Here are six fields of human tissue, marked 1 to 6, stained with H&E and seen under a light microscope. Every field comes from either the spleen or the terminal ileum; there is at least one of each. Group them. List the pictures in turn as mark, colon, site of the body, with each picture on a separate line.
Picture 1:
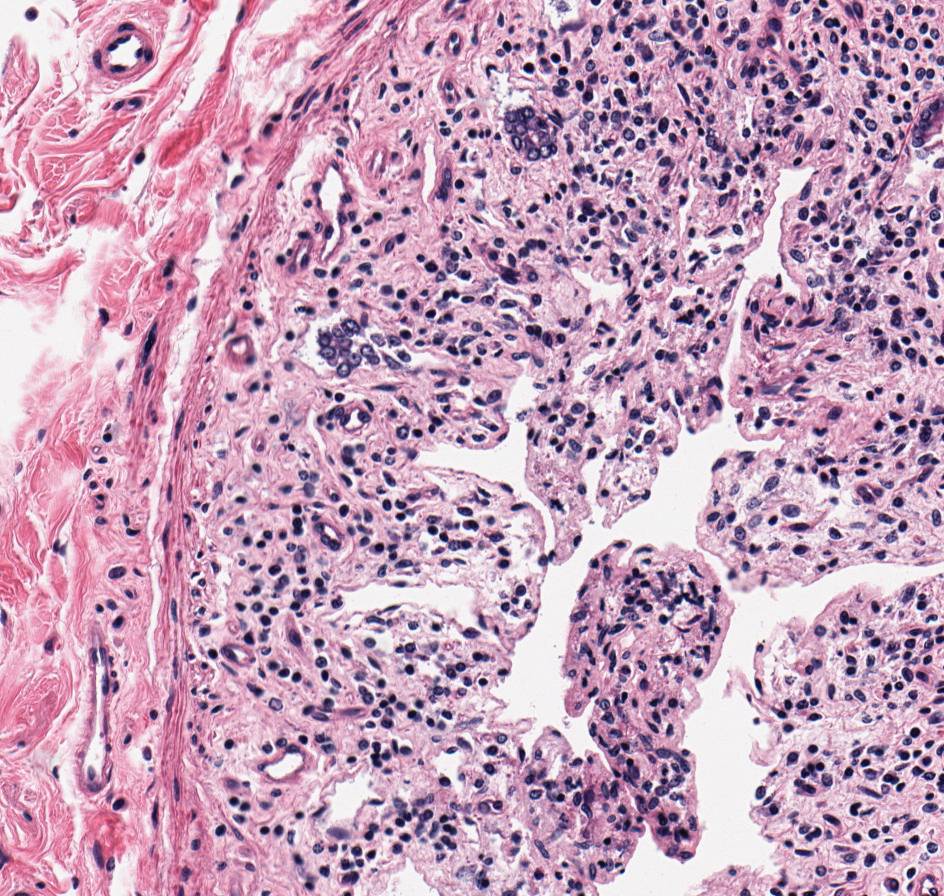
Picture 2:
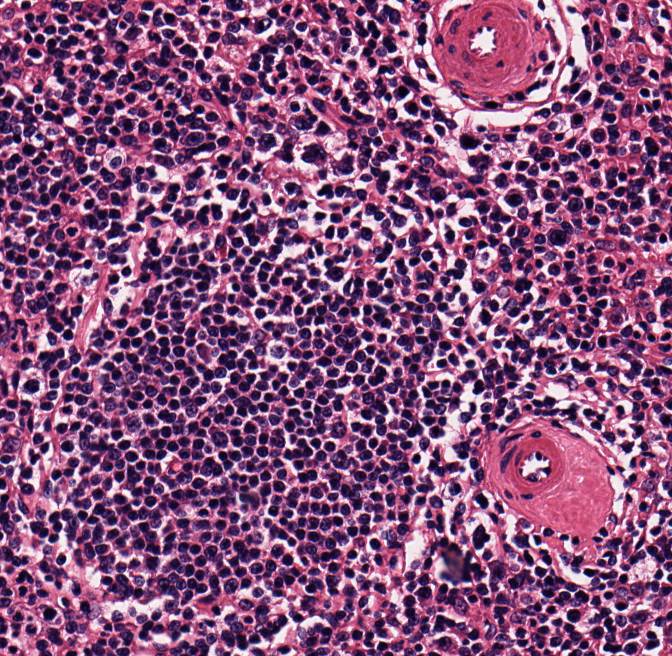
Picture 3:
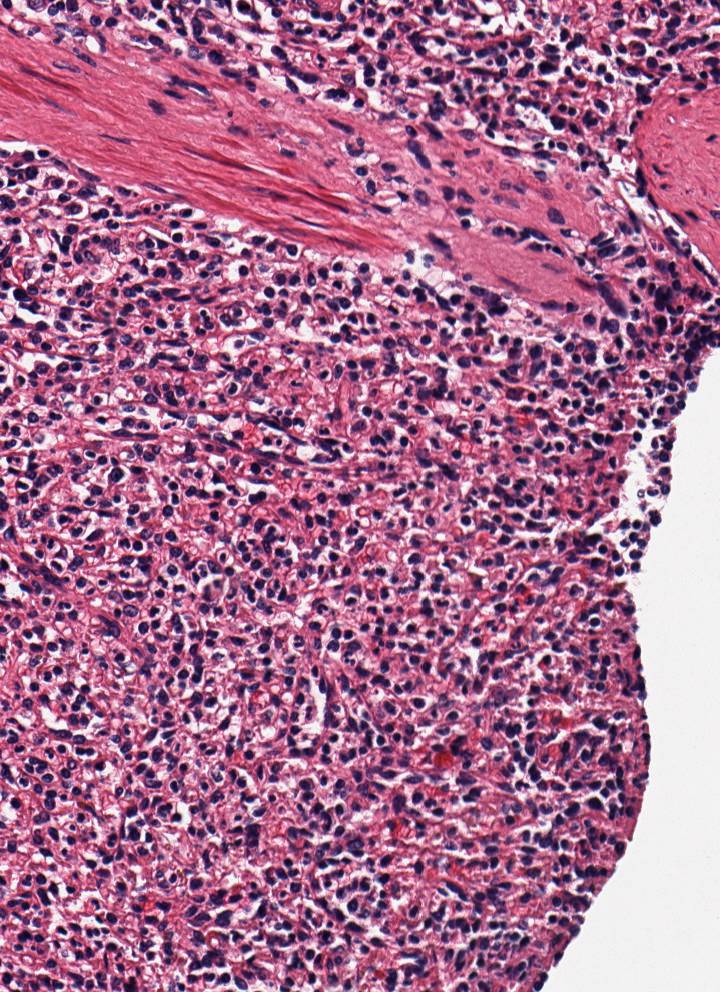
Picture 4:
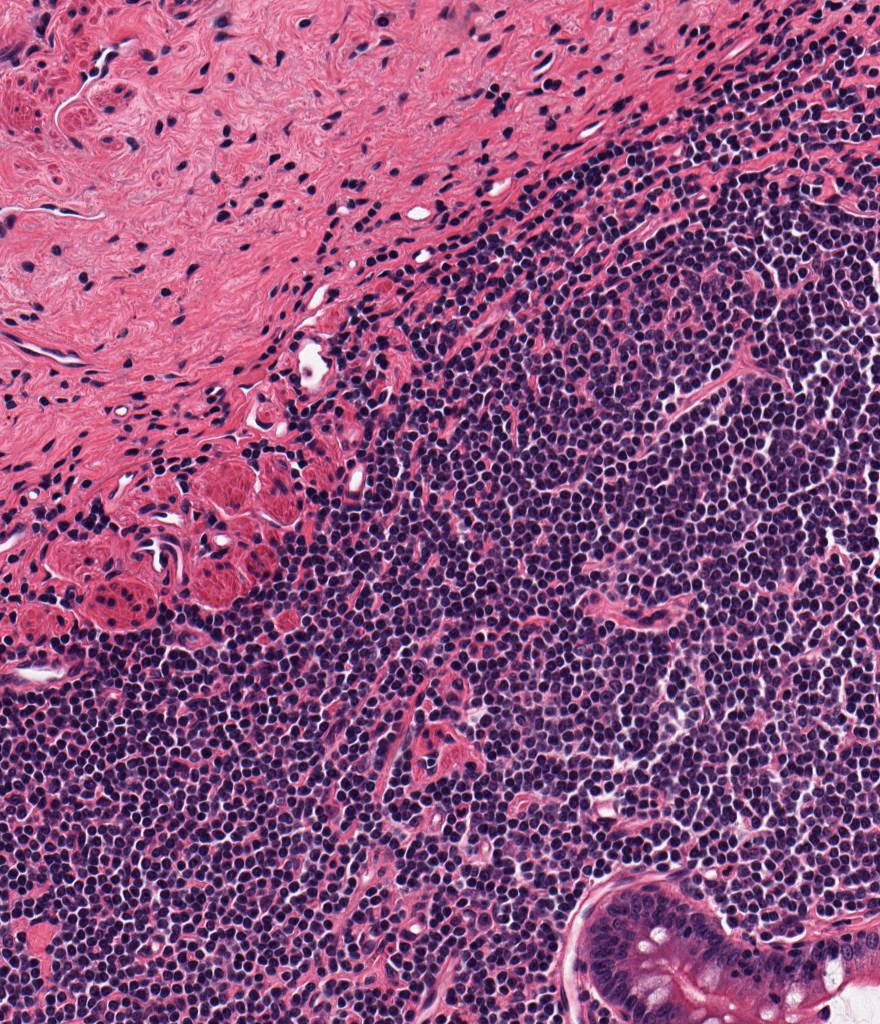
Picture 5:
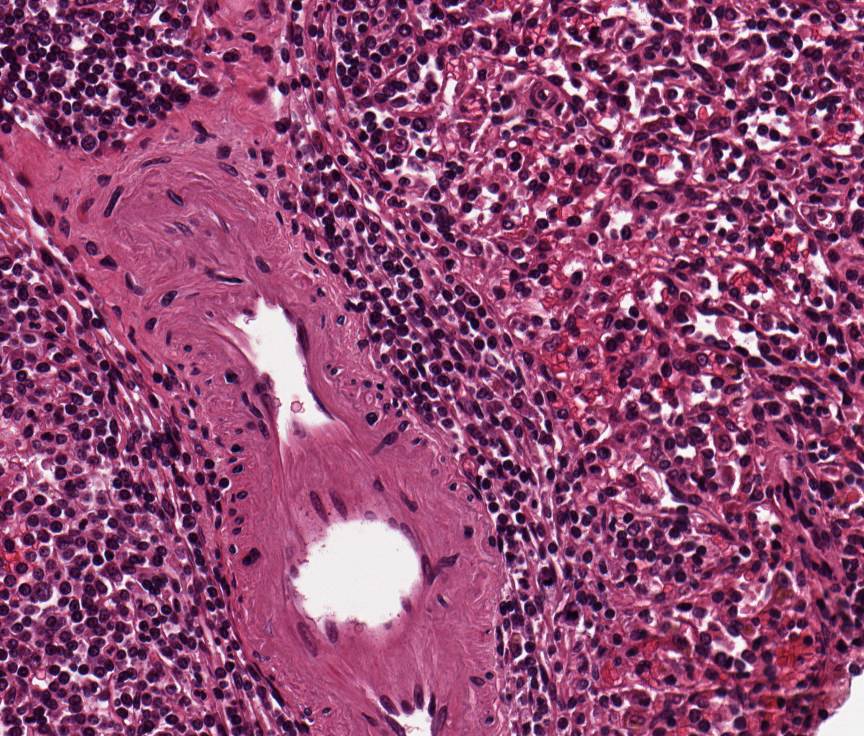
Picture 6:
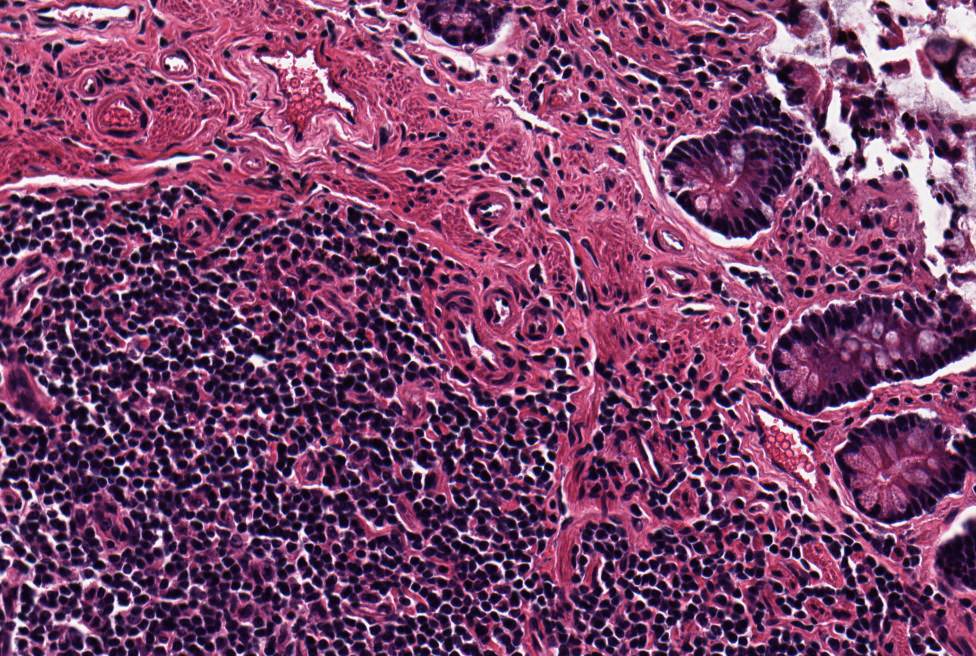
1: terminal ileum
2: spleen
3: spleen
4: terminal ileum
5: spleen
6: terminal ileum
